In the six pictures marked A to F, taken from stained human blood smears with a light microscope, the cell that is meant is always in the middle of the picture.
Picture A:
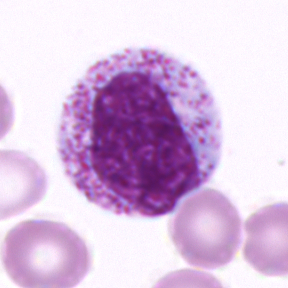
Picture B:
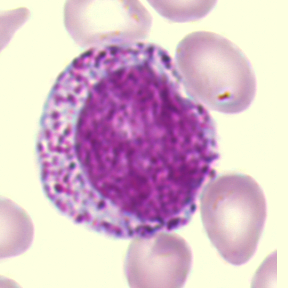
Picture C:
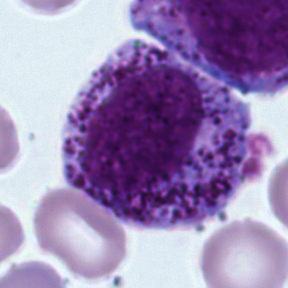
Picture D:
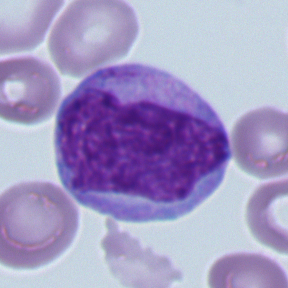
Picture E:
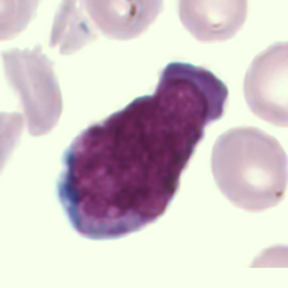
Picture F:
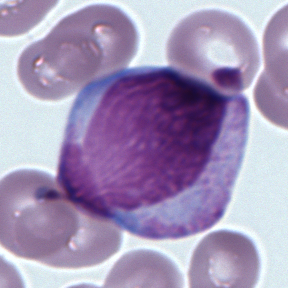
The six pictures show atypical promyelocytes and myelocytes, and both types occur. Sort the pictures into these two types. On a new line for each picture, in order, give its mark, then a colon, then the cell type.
A: myelocyte
B: myelocyte
C: myelocyte
D: atypical promyelocyte
E: atypical promyelocyte
F: atypical promyelocyte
